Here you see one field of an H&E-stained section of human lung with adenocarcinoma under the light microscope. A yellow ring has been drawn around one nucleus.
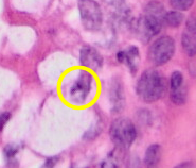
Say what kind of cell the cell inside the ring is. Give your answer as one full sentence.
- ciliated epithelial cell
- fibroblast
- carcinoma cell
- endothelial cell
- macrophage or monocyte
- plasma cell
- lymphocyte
Cell type answer for this item: the cell inside the ring is a ciliated epithelial cell.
